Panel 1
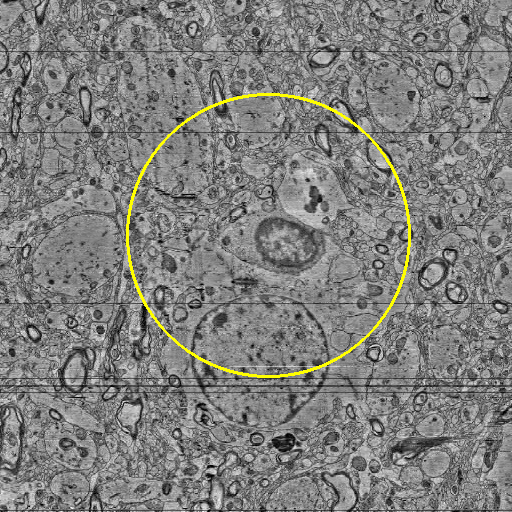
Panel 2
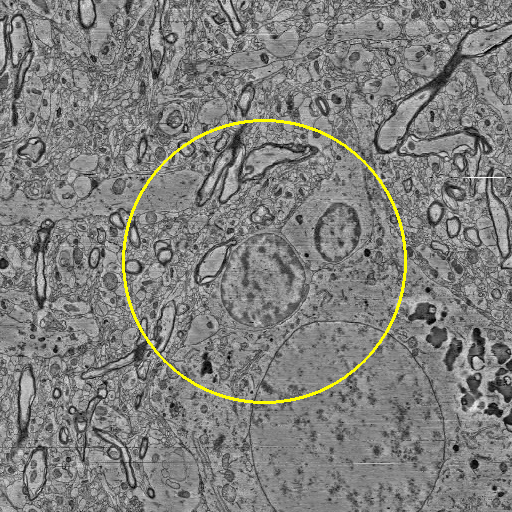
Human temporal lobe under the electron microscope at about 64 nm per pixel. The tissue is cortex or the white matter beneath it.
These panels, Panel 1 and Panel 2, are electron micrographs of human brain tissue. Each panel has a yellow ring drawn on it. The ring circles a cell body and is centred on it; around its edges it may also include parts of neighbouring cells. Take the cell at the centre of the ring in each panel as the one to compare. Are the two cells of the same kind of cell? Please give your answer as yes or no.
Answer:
yes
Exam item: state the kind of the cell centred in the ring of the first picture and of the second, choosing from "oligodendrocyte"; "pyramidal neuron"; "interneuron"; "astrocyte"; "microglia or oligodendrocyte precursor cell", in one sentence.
Both cells are the same kind, each one being an oligodendrocyte.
